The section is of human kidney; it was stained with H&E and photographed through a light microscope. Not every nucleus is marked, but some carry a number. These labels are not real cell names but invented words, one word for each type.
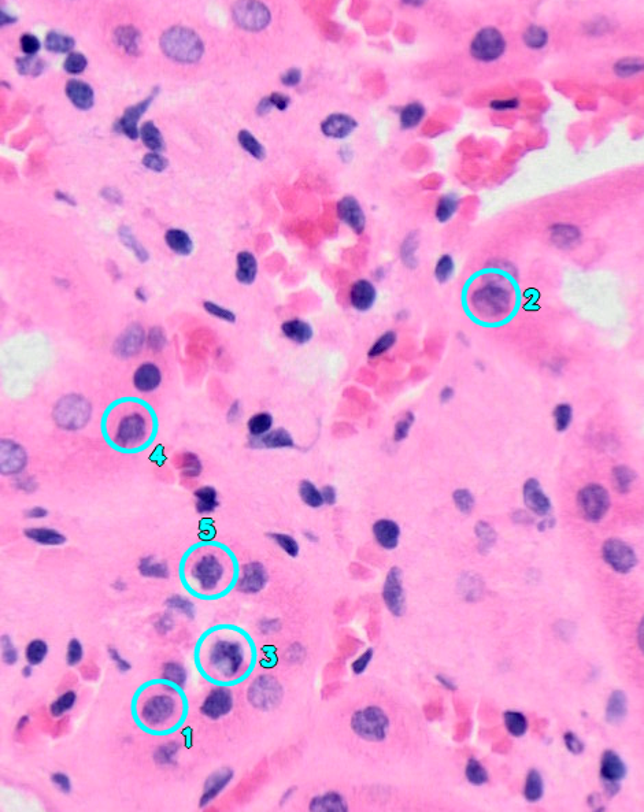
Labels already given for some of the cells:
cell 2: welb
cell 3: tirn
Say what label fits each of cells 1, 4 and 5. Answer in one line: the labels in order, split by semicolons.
tirn; welb; tirn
